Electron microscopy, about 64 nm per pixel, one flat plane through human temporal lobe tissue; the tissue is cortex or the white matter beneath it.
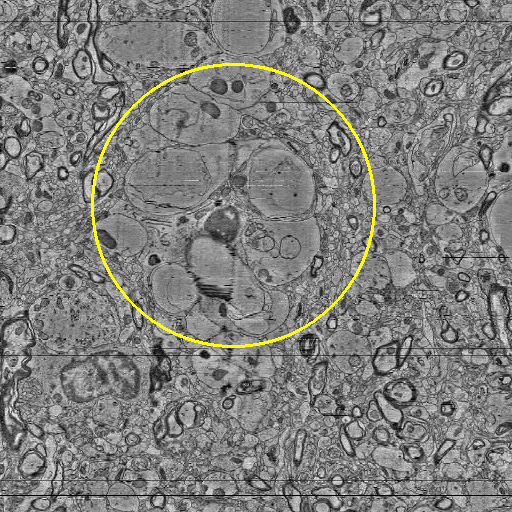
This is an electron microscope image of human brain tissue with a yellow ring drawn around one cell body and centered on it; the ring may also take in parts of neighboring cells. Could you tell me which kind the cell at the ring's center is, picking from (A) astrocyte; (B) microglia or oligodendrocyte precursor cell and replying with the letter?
B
